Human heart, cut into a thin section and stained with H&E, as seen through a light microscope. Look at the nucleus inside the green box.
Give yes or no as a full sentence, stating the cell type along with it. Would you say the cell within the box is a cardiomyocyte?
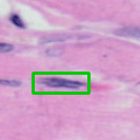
No, it is an endothelial cell, not a cardiomyocyte, that the cell within the box represents.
